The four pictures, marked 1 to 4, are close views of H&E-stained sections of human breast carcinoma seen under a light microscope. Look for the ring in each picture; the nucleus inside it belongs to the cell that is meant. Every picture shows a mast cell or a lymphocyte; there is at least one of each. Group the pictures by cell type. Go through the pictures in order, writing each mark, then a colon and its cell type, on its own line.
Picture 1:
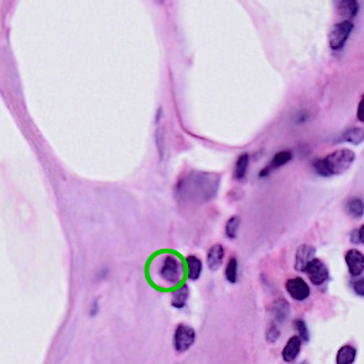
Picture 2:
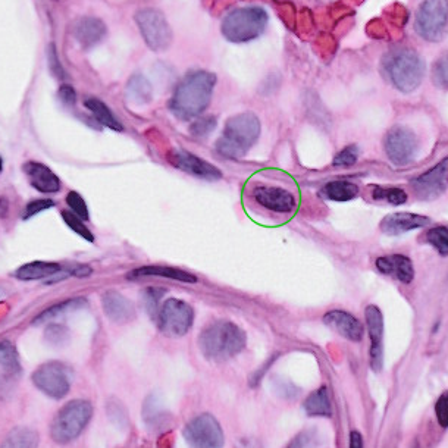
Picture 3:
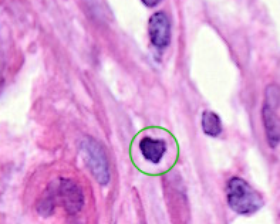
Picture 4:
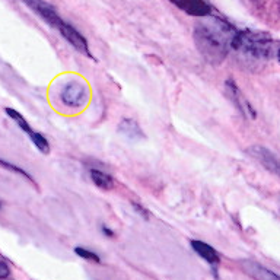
1: lymphocyte
2: mast cell
3: lymphocyte
4: mast cell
